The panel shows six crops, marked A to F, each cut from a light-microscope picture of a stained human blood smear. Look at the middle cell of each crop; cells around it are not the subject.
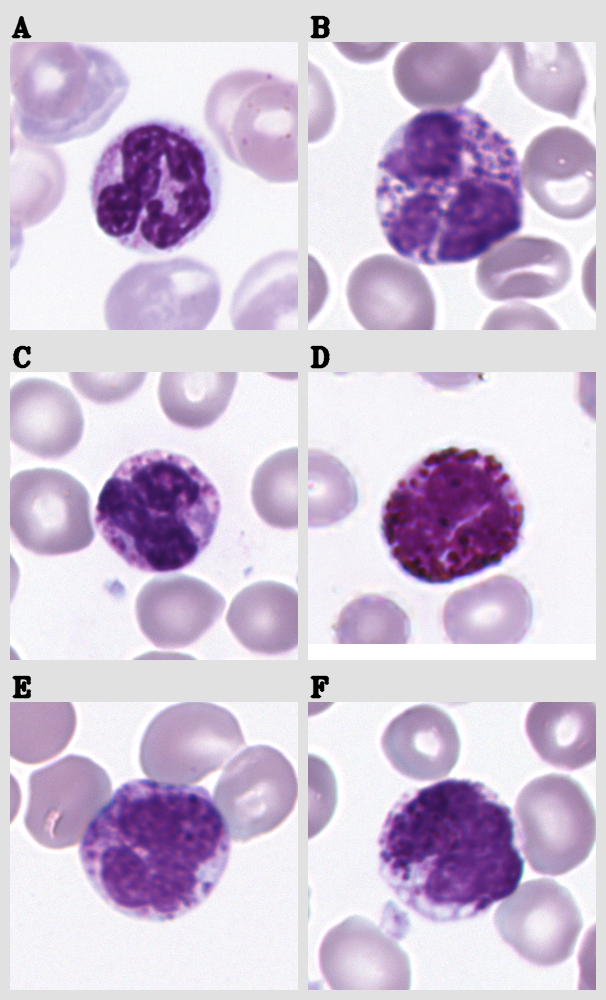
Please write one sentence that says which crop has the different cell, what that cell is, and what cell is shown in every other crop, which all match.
Only crop A differs, being a neutrophil, while the others all show basophils.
